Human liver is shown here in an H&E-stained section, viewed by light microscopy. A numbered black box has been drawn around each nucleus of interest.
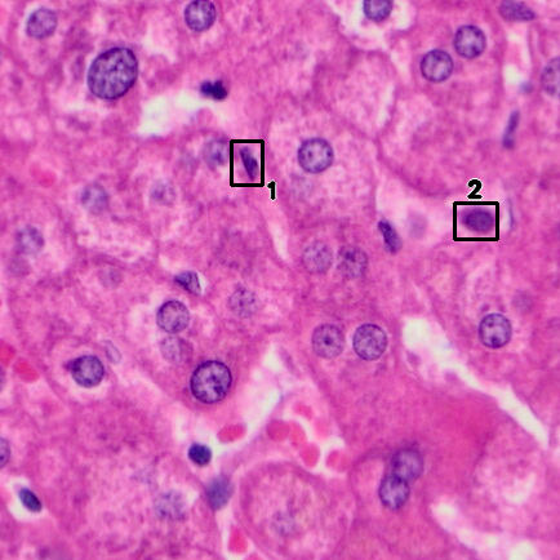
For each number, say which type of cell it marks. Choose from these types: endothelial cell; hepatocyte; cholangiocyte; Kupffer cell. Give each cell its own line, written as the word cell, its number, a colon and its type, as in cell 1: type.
cell 1: endothelial cell
cell 2: Kupffer cell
